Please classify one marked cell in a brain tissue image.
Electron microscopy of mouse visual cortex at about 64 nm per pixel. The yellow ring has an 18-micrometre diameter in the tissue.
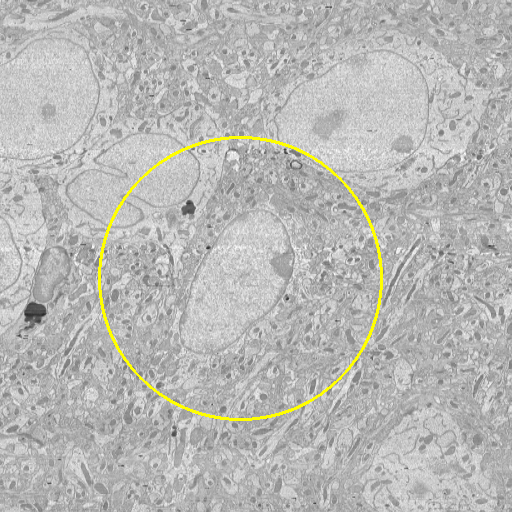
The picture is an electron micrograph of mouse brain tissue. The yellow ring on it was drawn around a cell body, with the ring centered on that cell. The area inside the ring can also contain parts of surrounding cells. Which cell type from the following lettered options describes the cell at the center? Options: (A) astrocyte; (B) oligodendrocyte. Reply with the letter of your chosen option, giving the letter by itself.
A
